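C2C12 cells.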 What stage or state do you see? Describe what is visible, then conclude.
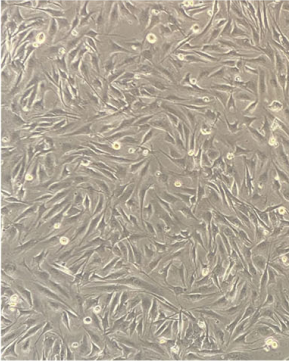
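Undifferentiated. The cells are small, separate and spindle or star shaped. No long fused tube-like structures are seen. Some rounded bright cells lie scattered among them.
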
